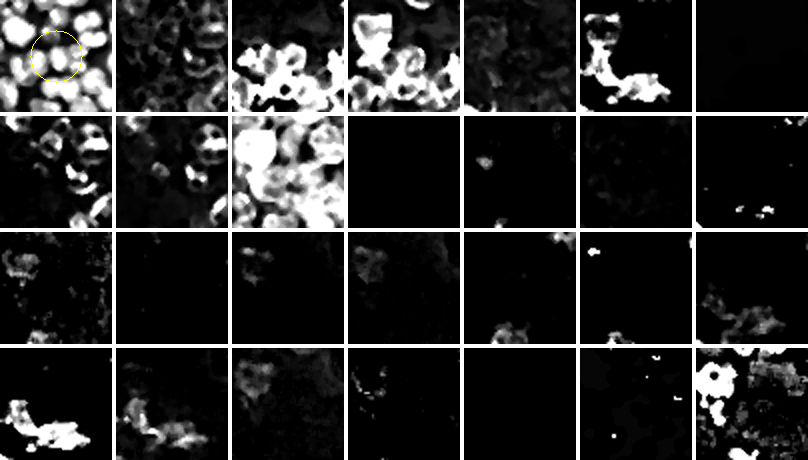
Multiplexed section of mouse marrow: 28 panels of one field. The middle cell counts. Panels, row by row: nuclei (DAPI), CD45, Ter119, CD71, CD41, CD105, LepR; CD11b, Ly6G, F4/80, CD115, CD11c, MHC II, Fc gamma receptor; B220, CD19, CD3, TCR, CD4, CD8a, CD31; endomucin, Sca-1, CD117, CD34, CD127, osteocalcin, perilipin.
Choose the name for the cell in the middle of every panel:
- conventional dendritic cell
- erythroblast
erythroblast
